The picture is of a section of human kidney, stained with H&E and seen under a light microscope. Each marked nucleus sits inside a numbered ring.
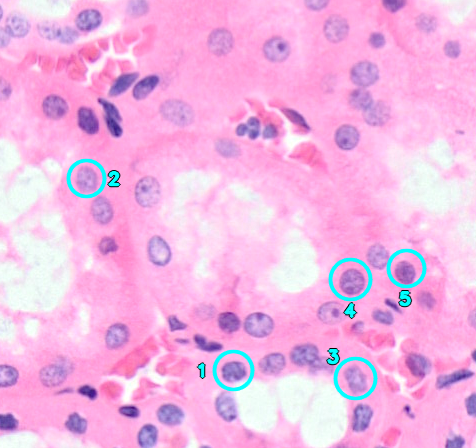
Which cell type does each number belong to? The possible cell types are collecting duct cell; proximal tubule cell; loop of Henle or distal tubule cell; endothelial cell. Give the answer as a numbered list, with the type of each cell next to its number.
1. loop of Henle or distal tubule cell
2. proximal tubule cell
3. loop of Henle or distal tubule cell
4. proximal tubule cell
5. proximal tubule cell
